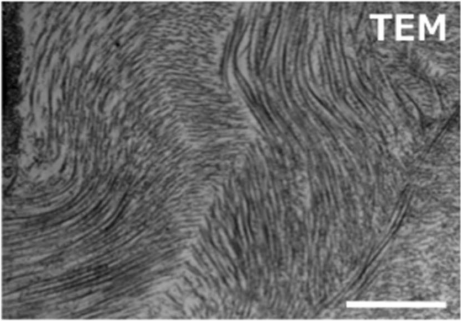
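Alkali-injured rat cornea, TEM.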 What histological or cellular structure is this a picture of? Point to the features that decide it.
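Densely packed thin parallel fibrils run in bundles. Bundles change direction, some cut lengthwise and others obliquely. That points to this answer: Collagen fibers.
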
